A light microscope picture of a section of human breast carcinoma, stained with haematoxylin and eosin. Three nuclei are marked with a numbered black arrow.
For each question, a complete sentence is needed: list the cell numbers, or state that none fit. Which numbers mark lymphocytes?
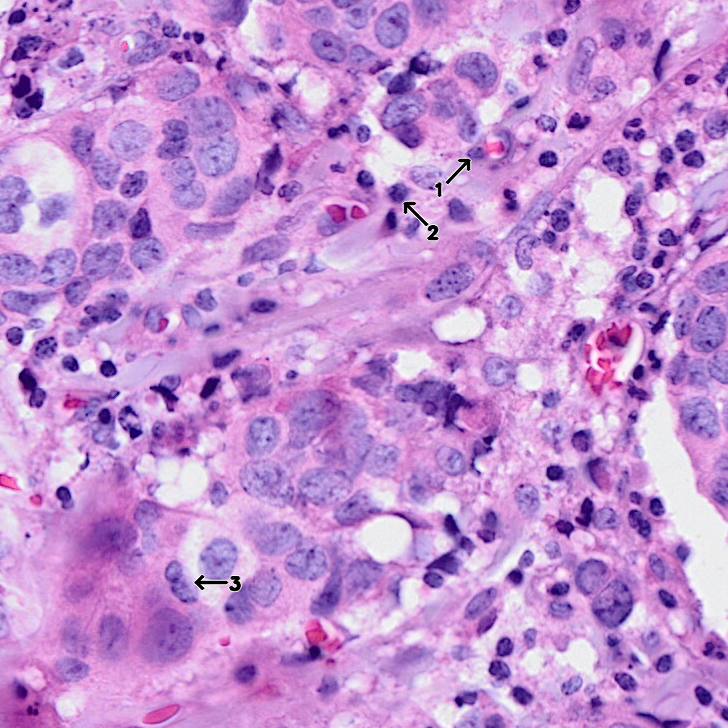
No marked cell except number 2 is a lymphocyte.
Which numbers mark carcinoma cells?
Only the cell at mark 3 is a carcinoma cell, and no other marked cell is.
